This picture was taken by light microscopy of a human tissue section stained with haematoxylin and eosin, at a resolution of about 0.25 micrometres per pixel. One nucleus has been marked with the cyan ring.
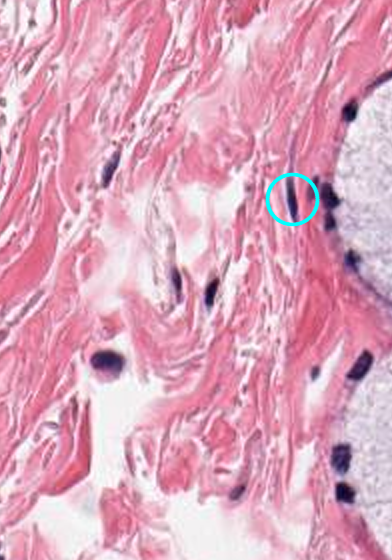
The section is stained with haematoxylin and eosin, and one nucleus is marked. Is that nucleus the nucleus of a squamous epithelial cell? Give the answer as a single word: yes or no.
no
